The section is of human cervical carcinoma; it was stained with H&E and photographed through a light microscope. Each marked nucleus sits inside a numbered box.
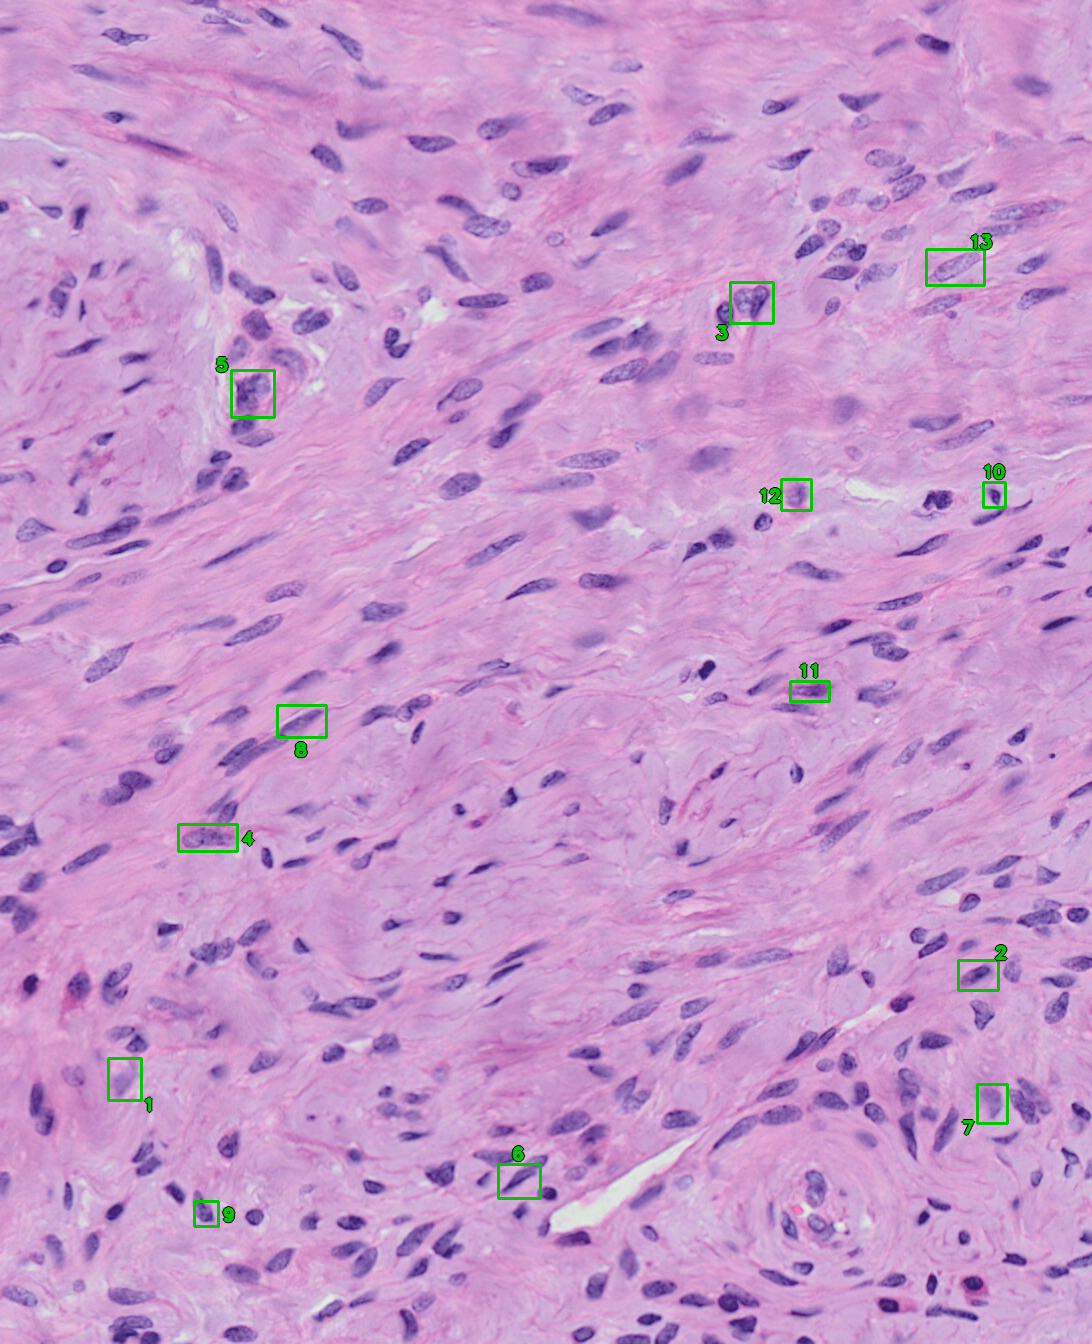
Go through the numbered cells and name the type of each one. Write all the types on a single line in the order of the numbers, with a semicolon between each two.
fibroblast; fibroblast; endothelial cell; smooth muscle cell; endothelial cell; fibroblast; fibroblast; fibroblast; fibroblast; fibroblast; smooth muscle cell; endothelial cell; smooth muscle cell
